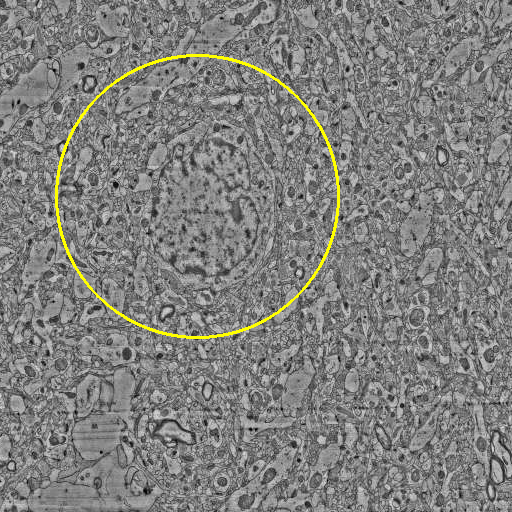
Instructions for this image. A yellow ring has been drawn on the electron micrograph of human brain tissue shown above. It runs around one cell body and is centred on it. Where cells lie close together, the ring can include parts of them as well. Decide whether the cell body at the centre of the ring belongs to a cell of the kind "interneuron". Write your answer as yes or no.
yes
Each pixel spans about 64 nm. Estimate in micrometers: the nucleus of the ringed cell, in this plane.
Approximately 9 micrometres long and 7 micrometres wide, in this plane.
